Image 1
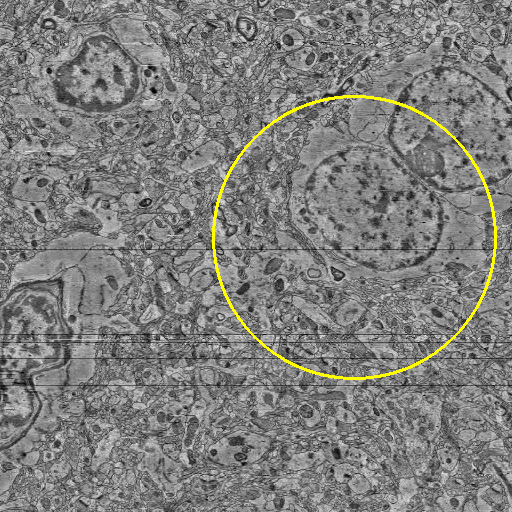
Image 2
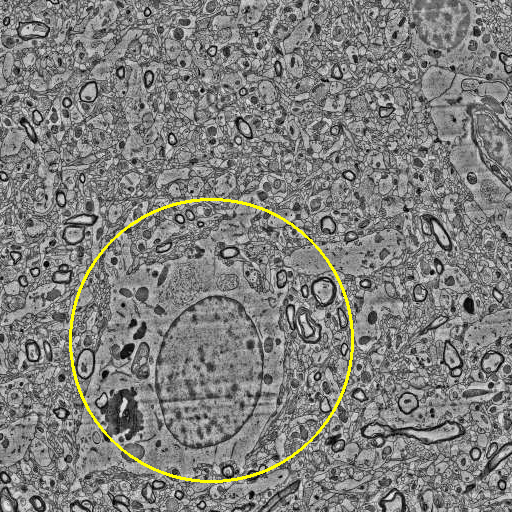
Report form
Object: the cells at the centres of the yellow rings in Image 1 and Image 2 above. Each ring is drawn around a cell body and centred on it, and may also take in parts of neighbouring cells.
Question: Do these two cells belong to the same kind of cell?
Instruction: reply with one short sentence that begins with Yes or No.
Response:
Yes, both belong to the same kind of cell.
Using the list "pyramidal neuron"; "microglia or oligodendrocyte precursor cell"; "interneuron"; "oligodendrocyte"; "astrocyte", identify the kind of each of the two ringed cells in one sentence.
The first and the second cell are each an astrocyte.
